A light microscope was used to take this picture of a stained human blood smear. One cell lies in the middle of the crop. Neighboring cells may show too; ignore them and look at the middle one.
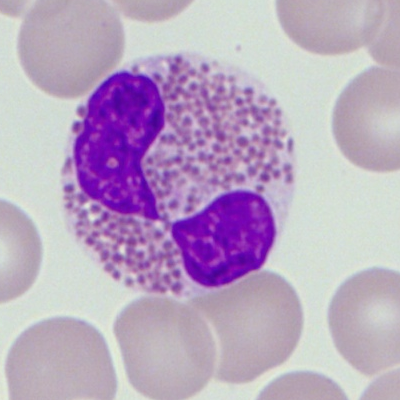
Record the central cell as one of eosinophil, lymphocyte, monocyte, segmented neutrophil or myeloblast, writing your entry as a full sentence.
The cell positioned in the middle of the field is an eosinophil.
